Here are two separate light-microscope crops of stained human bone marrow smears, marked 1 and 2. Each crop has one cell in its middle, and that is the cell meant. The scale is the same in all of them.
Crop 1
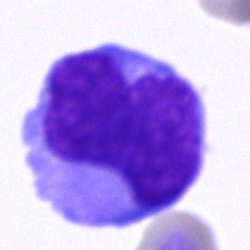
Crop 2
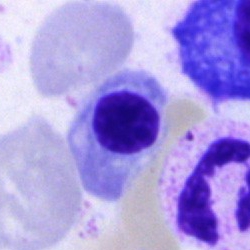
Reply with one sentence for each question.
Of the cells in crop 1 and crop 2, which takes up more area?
Larger is the cell in crop 1, at roughly 3 times the area of the other.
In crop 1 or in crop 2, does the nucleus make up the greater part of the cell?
In crop 1 the nucleus takes up the larger part of its cell.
